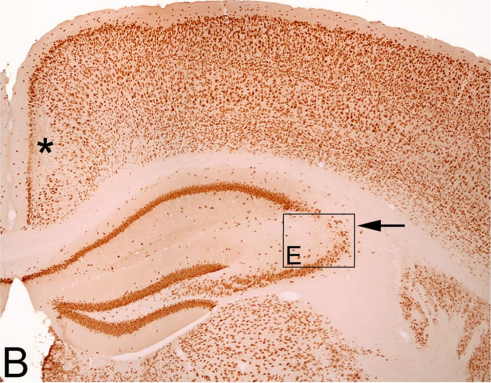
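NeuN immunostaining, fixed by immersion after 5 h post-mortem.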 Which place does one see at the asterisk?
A: Retrosplenial cortex.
